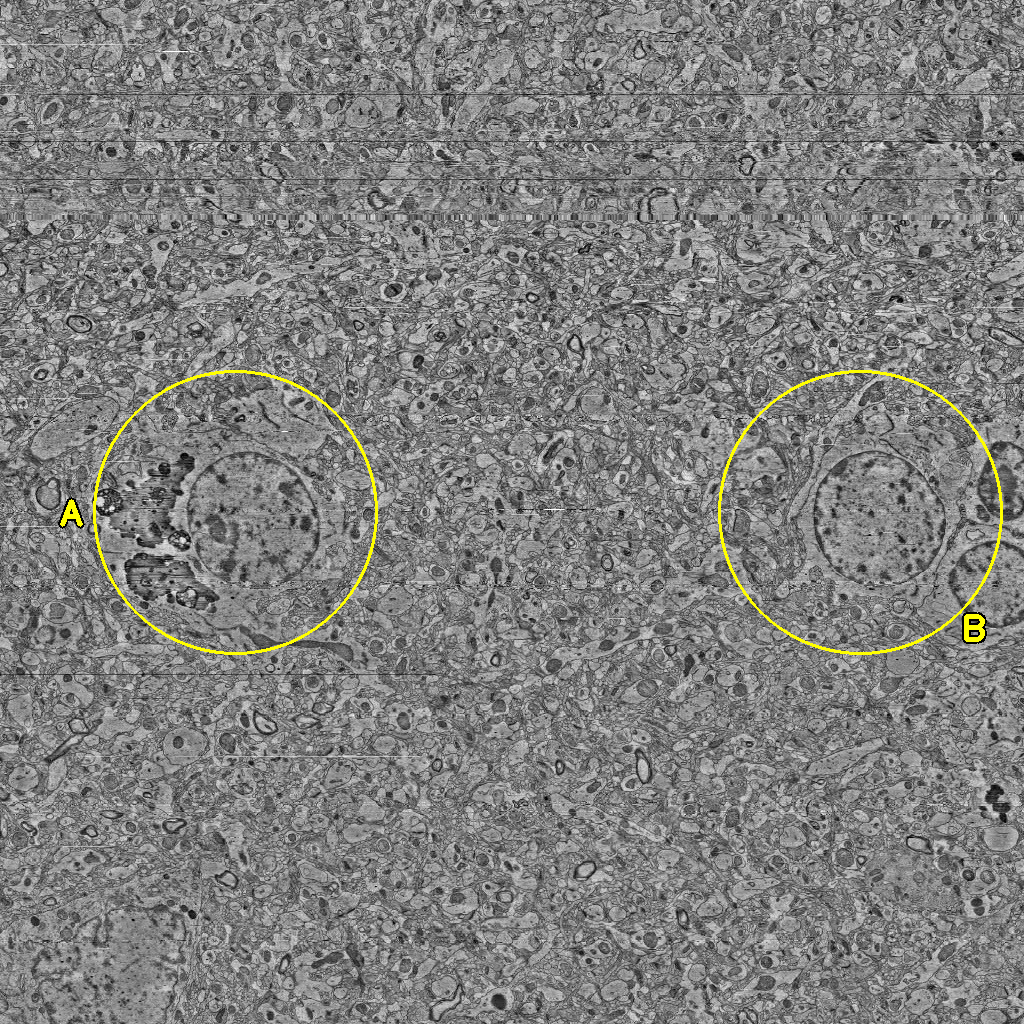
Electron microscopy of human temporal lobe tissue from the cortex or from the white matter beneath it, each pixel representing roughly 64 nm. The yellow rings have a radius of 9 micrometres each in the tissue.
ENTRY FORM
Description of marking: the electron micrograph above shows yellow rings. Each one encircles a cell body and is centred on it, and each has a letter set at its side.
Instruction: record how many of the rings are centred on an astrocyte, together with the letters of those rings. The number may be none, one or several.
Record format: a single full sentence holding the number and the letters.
There are two rings centred on an astrocyte each, and they are the ones with the letters A and B.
